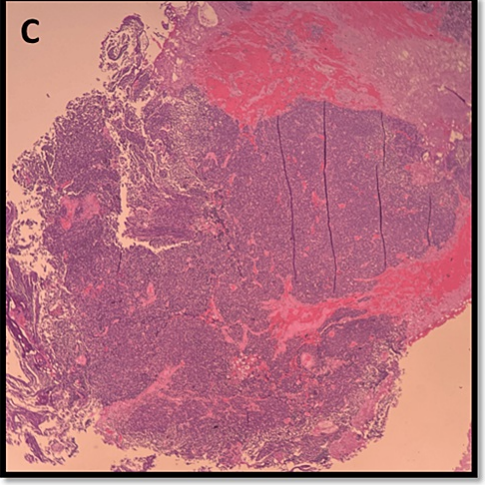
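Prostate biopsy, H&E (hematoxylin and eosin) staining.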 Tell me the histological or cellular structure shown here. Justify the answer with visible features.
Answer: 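Clusters of small blue cells. Large densely cellular blue-purple areas fill the fragment. Pink areas of blood lie between and around the cellular masses.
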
